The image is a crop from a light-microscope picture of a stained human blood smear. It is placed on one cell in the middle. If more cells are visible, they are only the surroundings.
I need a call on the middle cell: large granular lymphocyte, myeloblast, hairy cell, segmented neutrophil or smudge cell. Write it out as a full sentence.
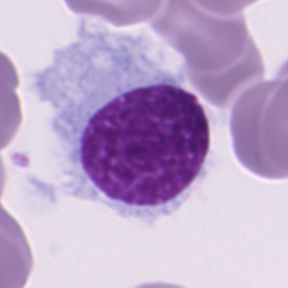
The cell around which this crop is centred is a hairy cell.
